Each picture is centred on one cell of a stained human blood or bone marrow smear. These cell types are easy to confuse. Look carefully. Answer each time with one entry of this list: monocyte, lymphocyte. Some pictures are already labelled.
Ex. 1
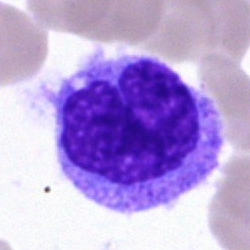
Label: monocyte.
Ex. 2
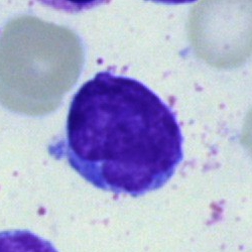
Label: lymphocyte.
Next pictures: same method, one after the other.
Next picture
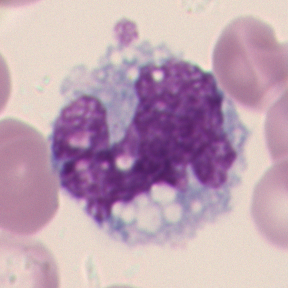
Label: monocyte.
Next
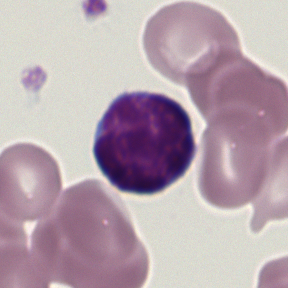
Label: lymphocyte.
